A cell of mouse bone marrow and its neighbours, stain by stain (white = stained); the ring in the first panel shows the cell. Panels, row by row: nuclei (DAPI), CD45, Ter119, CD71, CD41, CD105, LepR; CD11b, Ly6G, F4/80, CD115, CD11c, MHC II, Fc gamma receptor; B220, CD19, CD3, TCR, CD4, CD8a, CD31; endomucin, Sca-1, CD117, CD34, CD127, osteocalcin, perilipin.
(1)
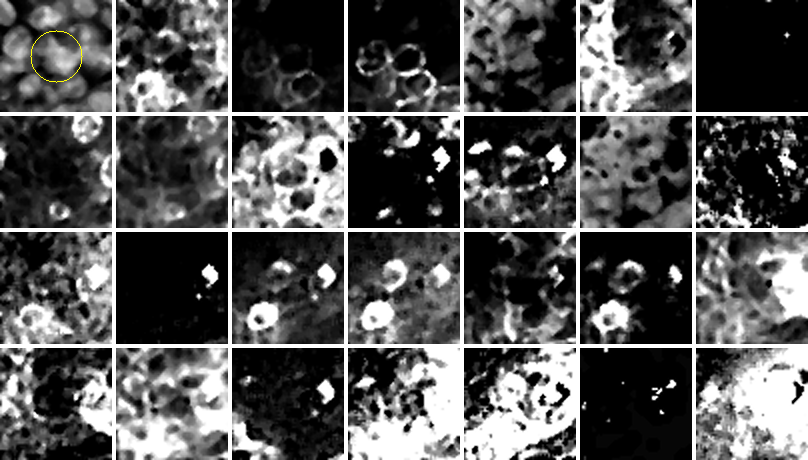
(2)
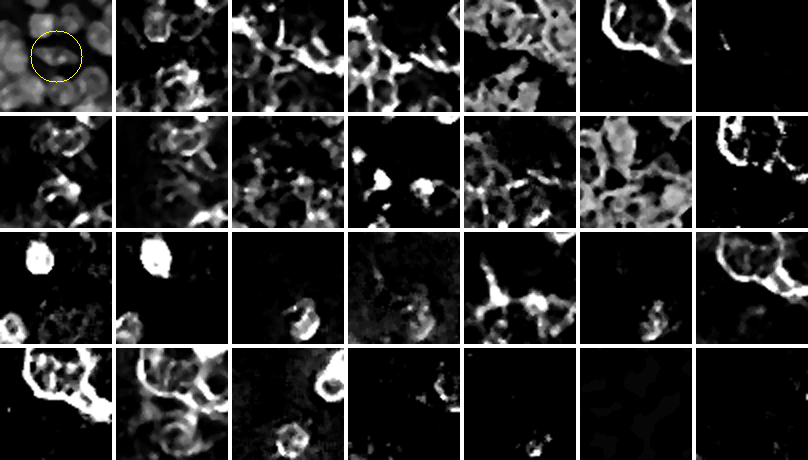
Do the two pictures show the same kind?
Yes, both are capillary endothelial cells.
